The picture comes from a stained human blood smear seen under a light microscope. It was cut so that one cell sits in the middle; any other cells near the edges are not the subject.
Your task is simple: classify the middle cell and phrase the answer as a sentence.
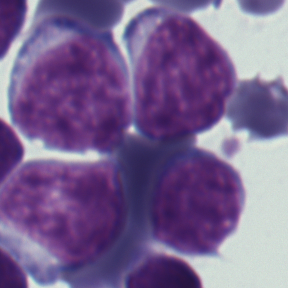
At the center of the crop sits a blast.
